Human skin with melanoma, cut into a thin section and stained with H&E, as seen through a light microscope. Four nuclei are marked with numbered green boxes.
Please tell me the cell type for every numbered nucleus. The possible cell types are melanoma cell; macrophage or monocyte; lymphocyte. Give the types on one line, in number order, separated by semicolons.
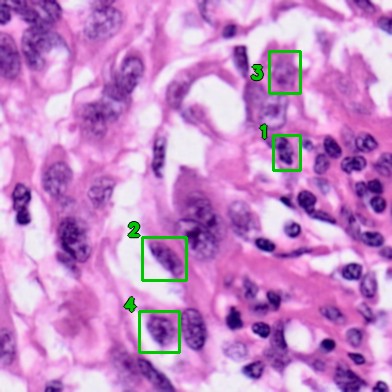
lymphocyte; melanoma cell; melanoma cell; melanoma cell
